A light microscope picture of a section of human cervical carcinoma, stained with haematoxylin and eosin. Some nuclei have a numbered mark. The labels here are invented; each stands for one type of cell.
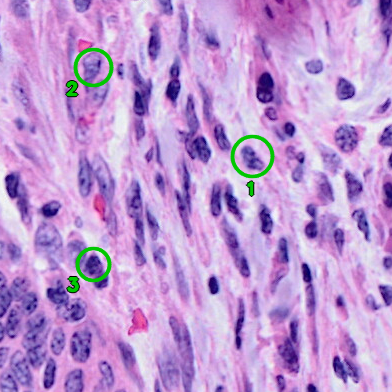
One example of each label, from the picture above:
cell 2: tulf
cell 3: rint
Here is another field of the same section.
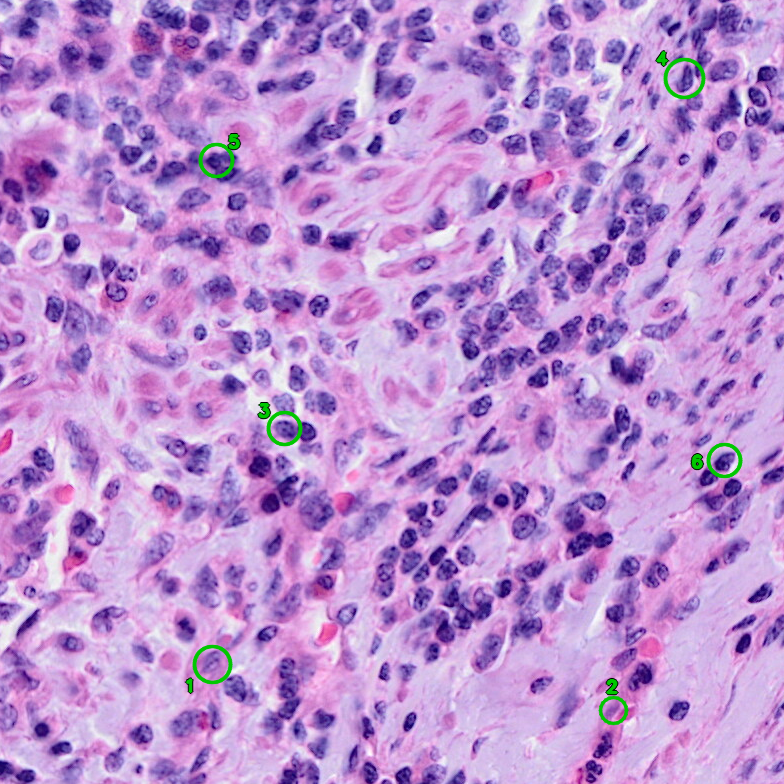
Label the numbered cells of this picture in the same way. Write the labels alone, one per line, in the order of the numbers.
tulf
tulf
rint
rint
rint
rint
